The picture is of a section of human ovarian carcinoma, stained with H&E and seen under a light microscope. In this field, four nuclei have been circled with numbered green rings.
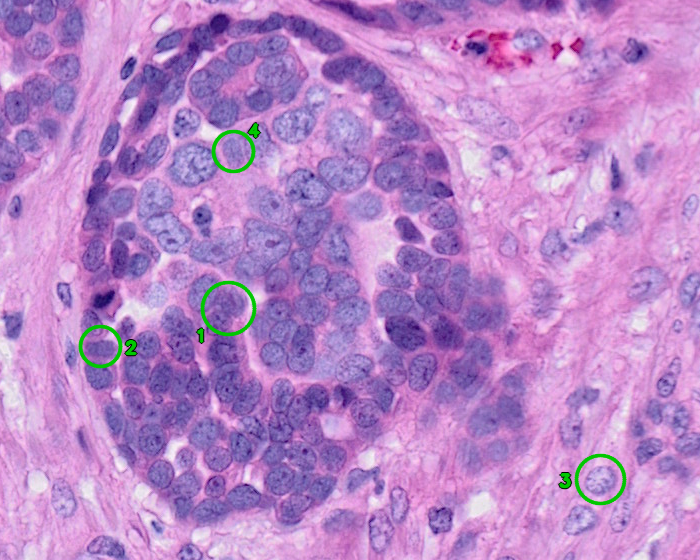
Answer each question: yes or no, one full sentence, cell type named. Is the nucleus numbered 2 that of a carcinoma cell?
Yes, that is so; number 2 marks a carcinoma cell.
